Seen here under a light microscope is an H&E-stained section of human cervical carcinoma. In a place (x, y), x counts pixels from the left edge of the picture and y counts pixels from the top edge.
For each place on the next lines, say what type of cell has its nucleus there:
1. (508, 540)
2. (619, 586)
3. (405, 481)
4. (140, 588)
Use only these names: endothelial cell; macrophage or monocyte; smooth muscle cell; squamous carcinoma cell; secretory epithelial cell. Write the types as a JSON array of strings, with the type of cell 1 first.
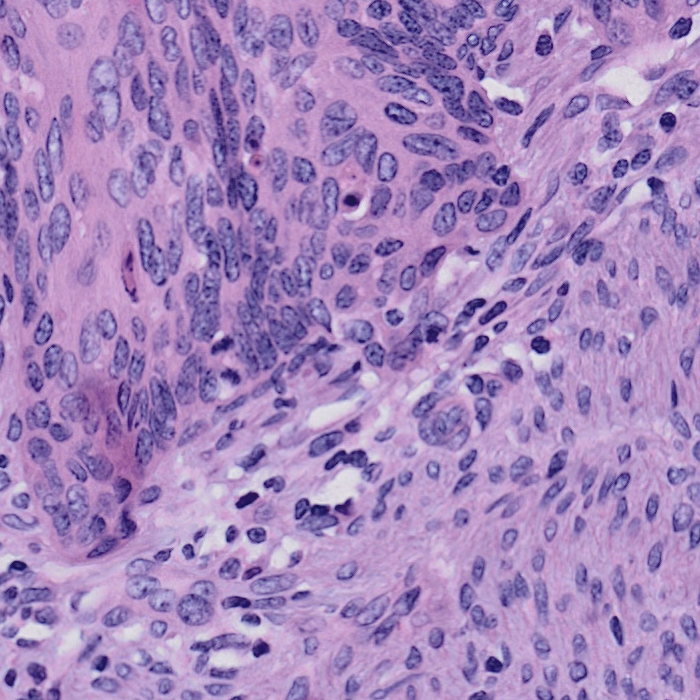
["smooth muscle cell", "smooth muscle cell", "smooth muscle cell", "endothelial cell"]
